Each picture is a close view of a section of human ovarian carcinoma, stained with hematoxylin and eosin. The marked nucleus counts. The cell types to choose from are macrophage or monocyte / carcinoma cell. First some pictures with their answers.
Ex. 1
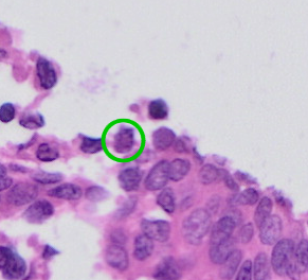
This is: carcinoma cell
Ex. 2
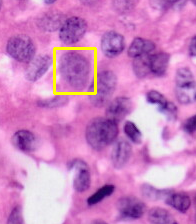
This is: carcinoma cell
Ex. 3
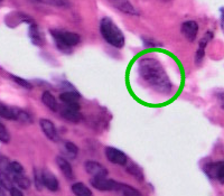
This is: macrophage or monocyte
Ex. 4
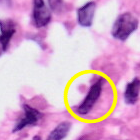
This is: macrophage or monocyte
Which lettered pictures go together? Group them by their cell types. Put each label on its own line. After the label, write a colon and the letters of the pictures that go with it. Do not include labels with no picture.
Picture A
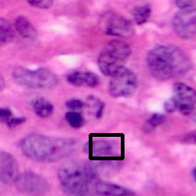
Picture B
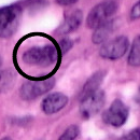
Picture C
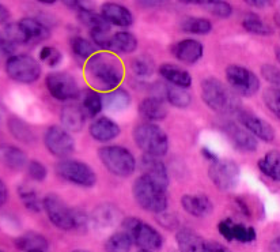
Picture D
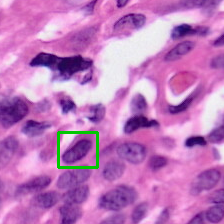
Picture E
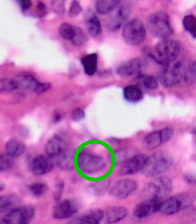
carcinoma cell: A, B, C, D, E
